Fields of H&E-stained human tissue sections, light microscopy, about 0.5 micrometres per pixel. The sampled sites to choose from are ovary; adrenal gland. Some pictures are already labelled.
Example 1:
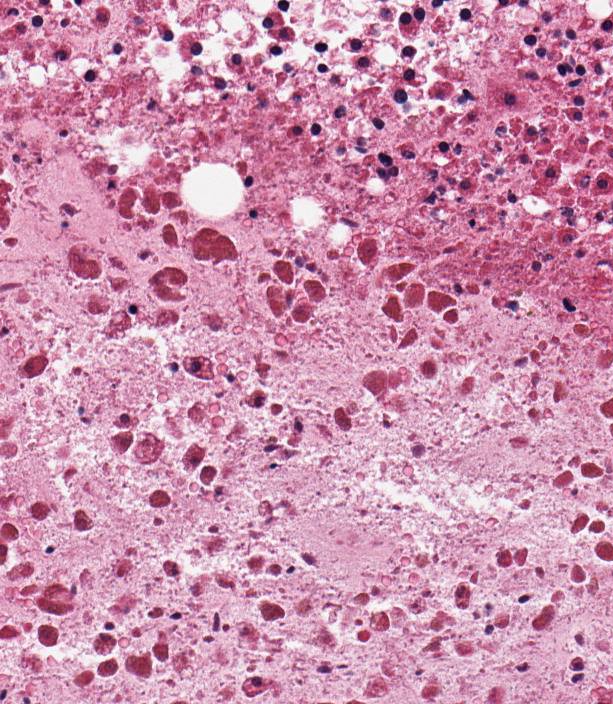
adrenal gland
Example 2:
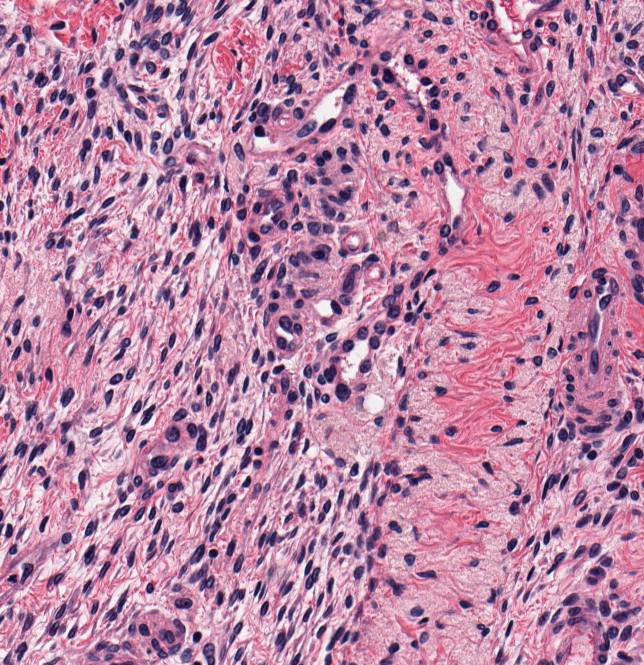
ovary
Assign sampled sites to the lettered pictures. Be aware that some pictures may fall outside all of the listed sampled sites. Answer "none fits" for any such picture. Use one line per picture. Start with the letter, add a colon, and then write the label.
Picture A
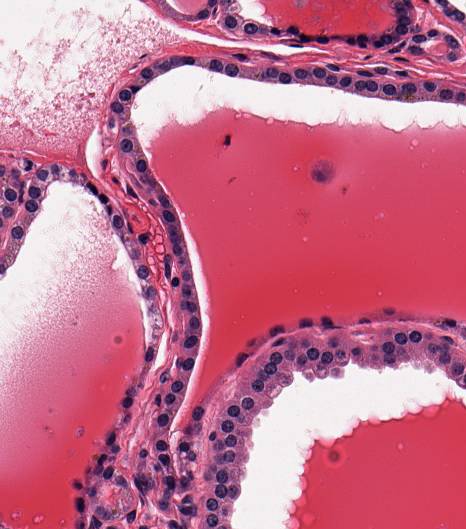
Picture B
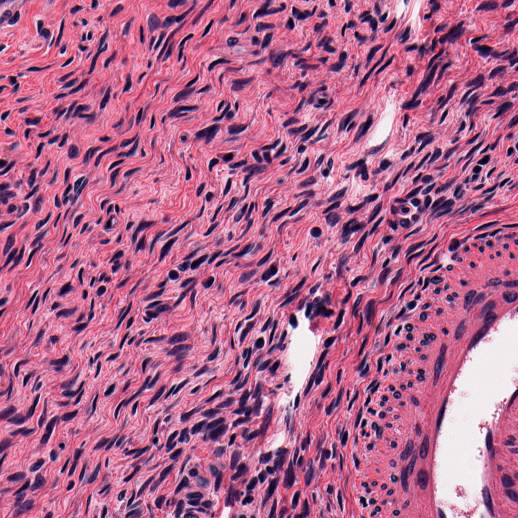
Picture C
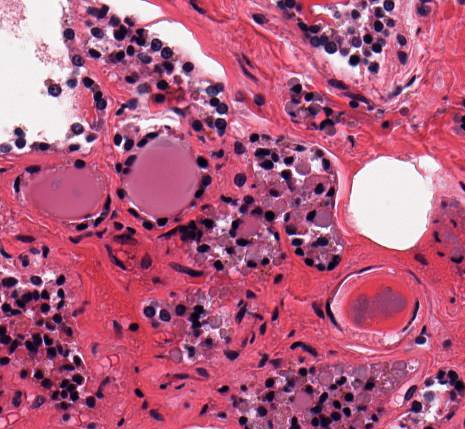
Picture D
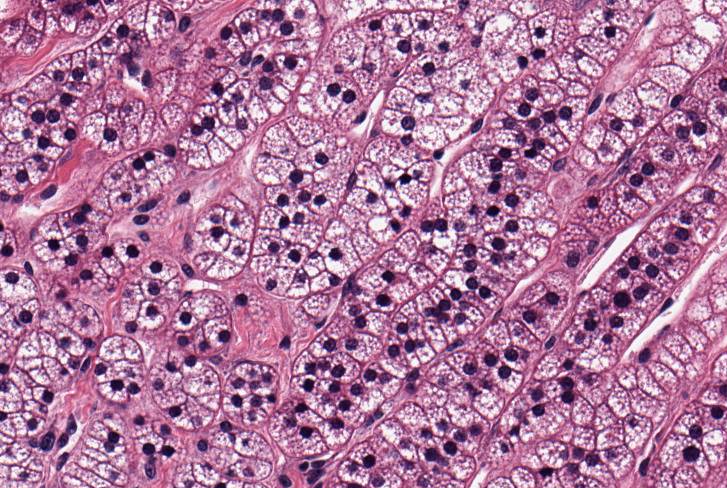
A: none fits
B: ovary
C: none fits
D: adrenal gland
